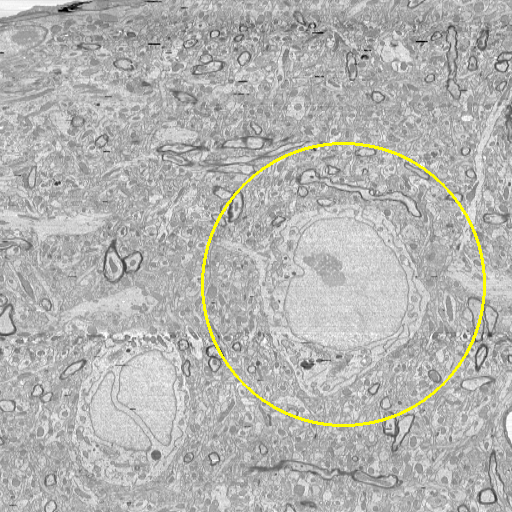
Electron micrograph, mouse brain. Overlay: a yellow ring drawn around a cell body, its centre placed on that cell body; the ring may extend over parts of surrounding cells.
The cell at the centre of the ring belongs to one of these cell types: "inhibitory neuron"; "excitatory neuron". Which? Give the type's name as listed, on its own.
inhibitory neuron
